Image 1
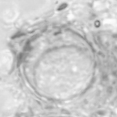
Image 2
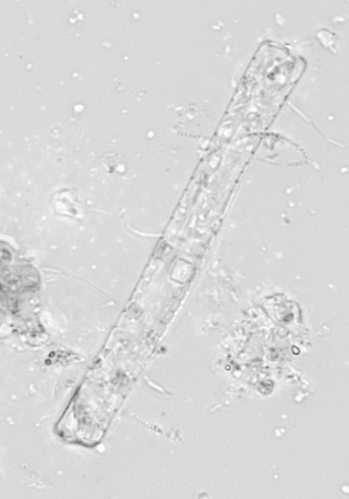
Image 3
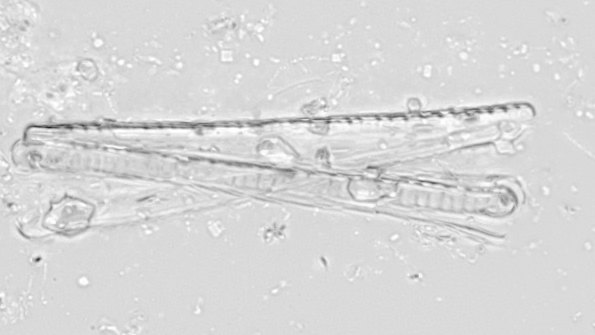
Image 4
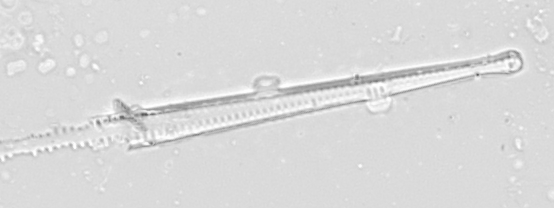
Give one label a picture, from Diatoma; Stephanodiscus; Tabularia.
1: Stephanodiscus
2: Diatoma
3: Diatoma
4: Tabularia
